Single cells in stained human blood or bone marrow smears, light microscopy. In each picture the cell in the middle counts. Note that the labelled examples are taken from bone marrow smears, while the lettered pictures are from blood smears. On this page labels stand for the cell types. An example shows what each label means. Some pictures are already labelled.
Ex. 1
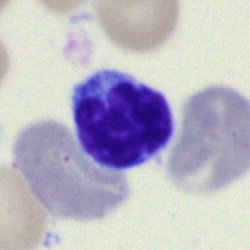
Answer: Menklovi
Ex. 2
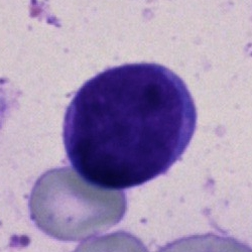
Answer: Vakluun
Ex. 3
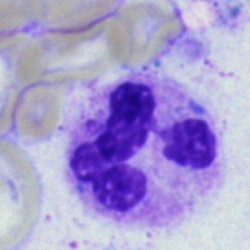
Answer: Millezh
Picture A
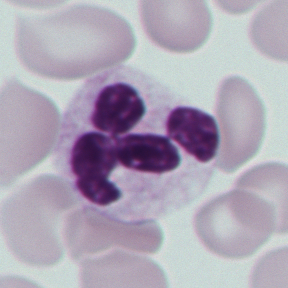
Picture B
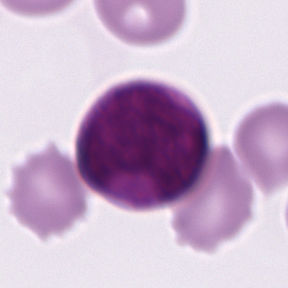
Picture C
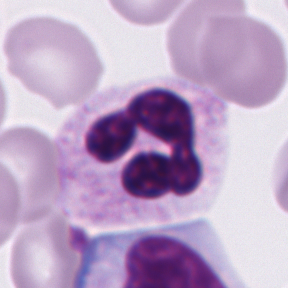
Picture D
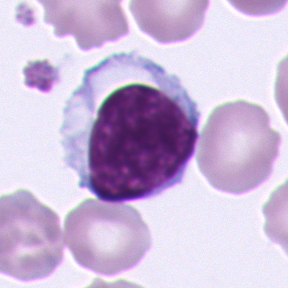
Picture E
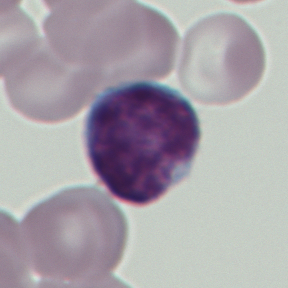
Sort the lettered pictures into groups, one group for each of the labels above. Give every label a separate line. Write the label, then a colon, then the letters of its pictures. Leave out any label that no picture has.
Menklovi: D, E
Vakluun: B
Millezh: A, C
